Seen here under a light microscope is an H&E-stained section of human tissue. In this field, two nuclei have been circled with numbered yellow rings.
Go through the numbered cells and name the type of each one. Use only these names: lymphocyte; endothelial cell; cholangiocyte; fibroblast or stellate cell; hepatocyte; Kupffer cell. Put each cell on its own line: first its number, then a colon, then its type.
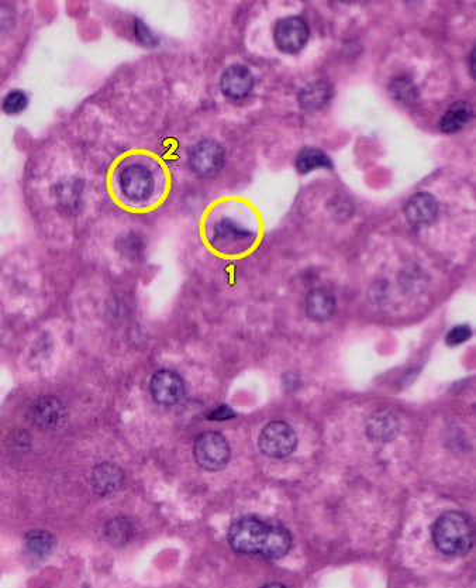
1: endothelial cell
2: hepatocyte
